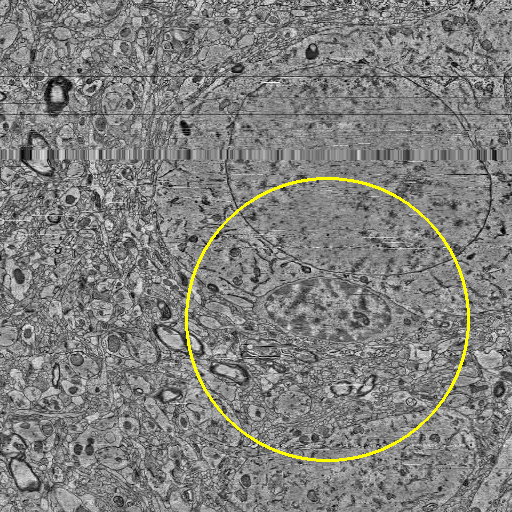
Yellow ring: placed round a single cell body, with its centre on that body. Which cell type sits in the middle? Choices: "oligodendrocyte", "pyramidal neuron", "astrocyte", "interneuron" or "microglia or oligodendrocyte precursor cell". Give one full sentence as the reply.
It is an oligodendrocyte whose cell body sits at the centre of the yellow ring.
